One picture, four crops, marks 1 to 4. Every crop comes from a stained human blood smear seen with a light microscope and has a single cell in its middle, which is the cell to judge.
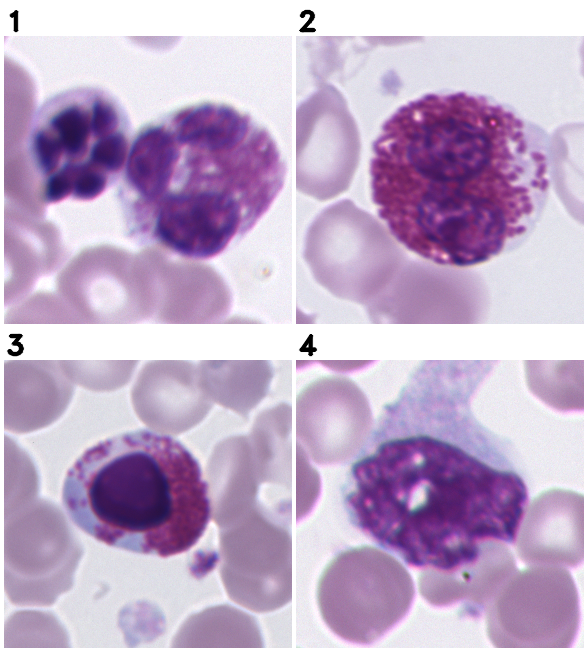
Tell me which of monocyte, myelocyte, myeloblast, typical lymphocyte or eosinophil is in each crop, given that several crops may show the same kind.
1: eosinophil
2: eosinophil
3: eosinophil
4: monocyte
